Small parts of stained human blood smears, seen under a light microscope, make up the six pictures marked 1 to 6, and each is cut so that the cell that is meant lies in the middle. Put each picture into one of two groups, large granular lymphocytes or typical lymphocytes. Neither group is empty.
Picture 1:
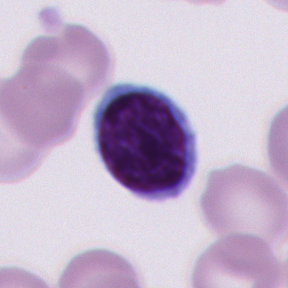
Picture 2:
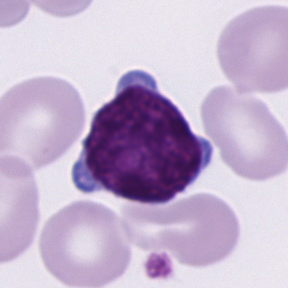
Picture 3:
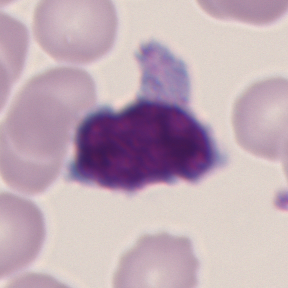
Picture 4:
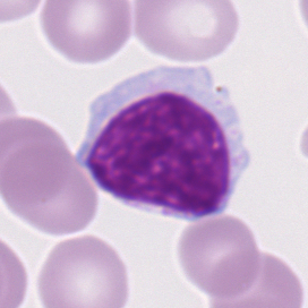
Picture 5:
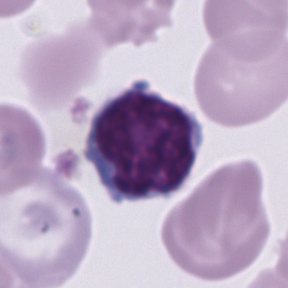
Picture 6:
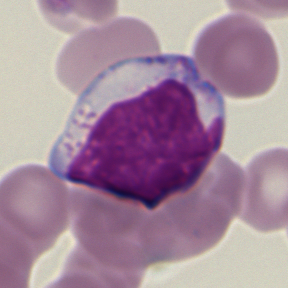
1: typical lymphocyte
2: typical lymphocyte
3: typical lymphocyte
4: large granular lymphocyte
5: typical lymphocyte
6: large granular lymphocyte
